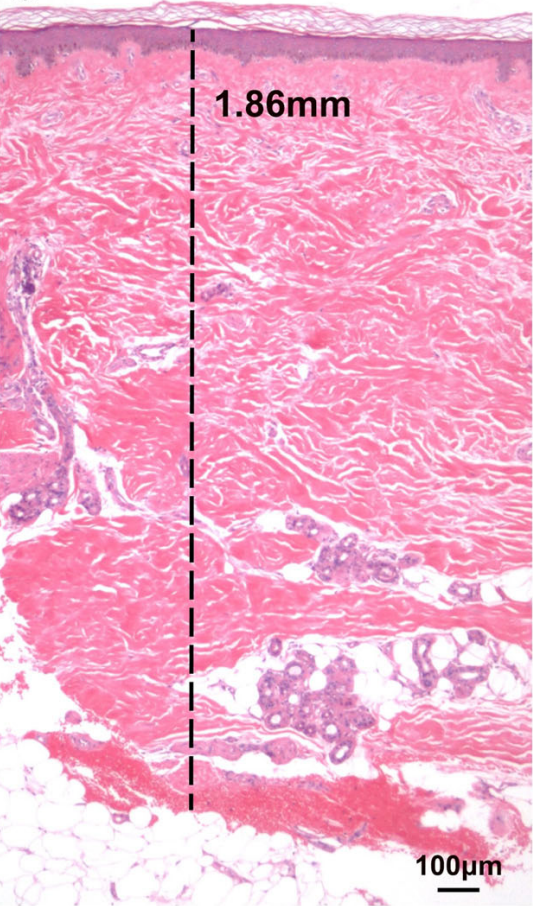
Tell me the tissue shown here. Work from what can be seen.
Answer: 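A thin purple-staining stratified surface layer lies on top. A thick layer of dense pink fibrous tissue lies beneath it. Clear round fat cells fill the bottom of the panel. Small clusters of purple-staining gland tubules lie in the deep fibrous layer. So: skin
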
